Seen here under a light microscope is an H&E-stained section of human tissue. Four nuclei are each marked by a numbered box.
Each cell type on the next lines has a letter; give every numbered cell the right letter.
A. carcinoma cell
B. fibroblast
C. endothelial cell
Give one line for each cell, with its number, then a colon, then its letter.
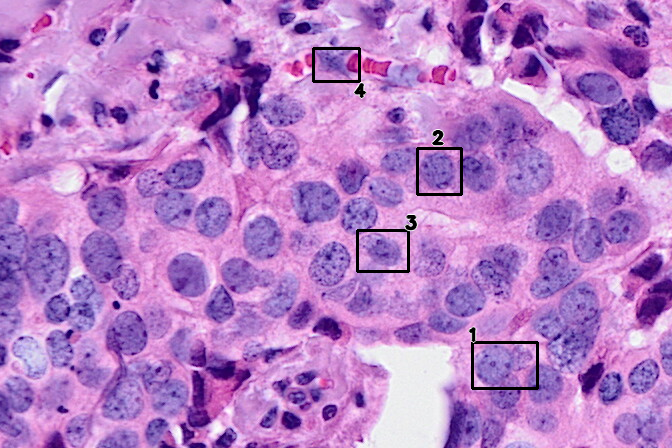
1: A
2: A
3: A
4: C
